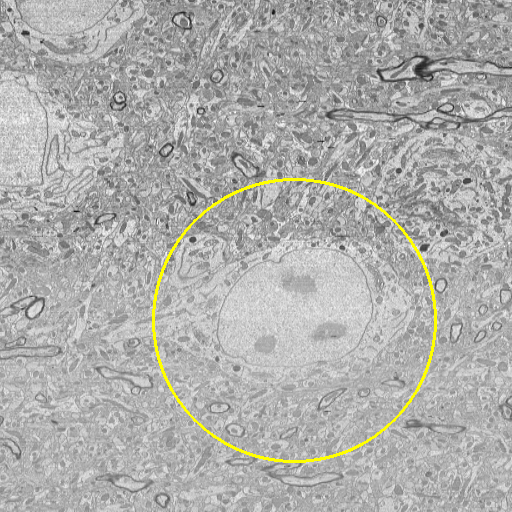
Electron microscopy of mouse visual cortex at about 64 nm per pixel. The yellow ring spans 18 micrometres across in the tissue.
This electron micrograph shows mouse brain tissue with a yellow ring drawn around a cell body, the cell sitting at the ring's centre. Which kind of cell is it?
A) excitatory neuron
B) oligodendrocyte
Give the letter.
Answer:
A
